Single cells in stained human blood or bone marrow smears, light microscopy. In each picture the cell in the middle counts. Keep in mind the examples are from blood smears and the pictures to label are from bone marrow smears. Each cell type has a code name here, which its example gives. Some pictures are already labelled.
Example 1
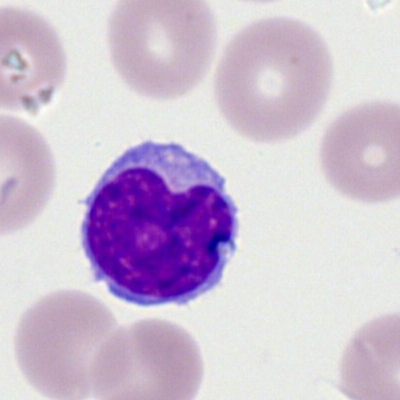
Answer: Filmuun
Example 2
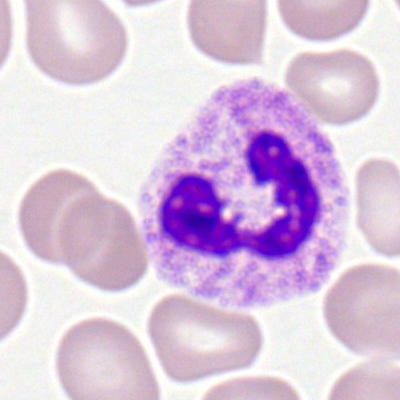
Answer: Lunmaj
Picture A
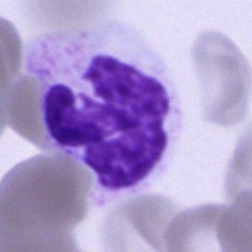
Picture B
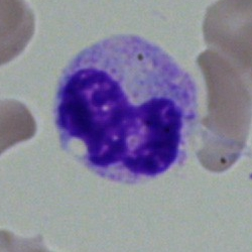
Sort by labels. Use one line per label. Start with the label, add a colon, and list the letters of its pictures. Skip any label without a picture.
Lunmaj: A, B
